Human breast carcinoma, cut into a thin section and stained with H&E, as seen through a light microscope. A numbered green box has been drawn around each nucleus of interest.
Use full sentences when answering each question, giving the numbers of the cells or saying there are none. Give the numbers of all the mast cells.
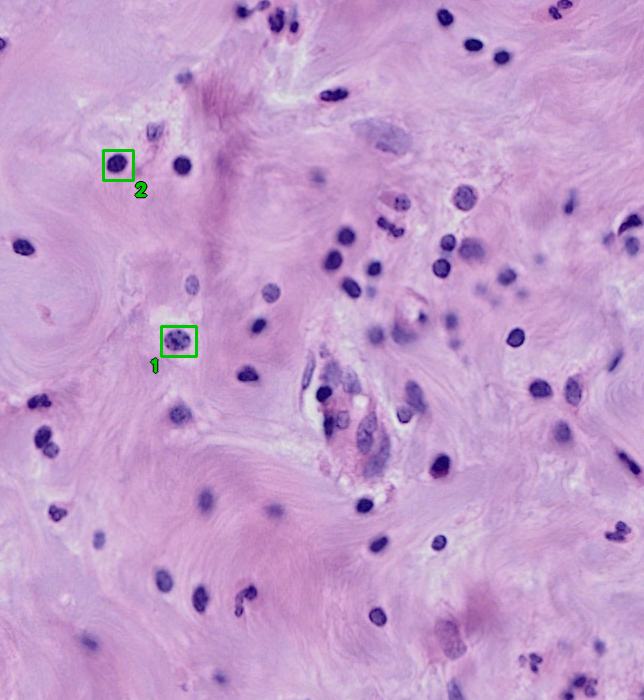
Cell 1 is a mast cell, which is true of none of the other numbered cells.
